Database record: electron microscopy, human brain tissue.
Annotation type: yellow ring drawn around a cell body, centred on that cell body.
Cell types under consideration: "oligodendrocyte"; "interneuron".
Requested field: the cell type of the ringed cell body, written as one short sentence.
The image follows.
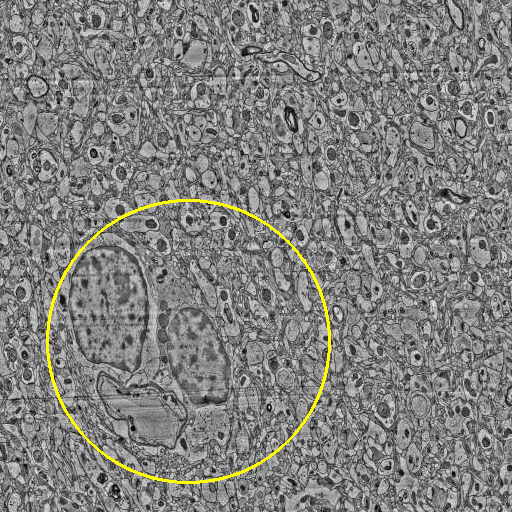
The ringed cell body represents an oligodendrocyte.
